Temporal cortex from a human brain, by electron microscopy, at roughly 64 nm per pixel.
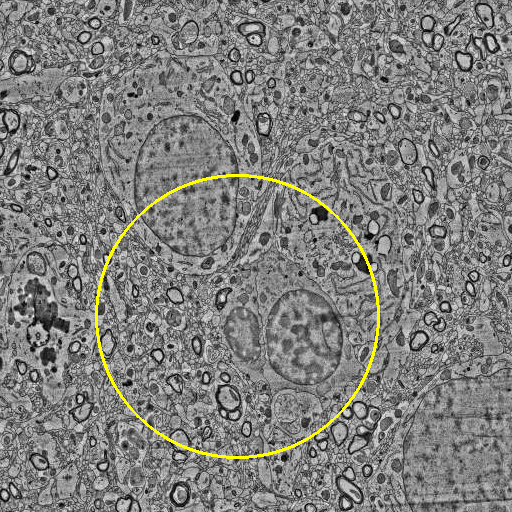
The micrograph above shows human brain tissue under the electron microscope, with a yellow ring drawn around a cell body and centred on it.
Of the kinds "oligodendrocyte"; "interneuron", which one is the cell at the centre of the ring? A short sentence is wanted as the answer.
The one at the centre of the ring is an oligodendrocyte.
